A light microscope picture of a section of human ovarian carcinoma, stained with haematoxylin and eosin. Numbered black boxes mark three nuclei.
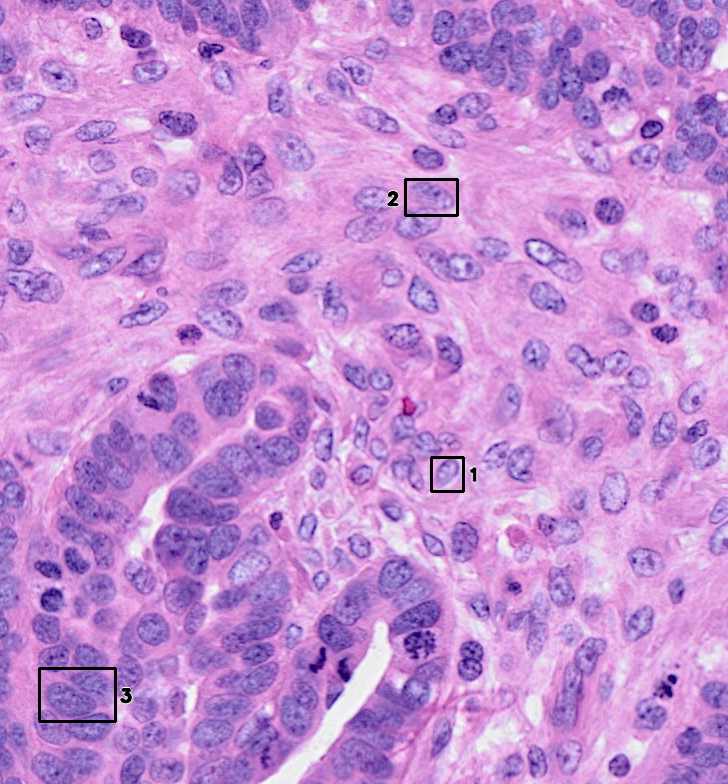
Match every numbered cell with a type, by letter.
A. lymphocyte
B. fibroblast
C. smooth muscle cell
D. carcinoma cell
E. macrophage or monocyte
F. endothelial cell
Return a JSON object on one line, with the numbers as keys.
{"1": "B", "2": "B", "3": "D"}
